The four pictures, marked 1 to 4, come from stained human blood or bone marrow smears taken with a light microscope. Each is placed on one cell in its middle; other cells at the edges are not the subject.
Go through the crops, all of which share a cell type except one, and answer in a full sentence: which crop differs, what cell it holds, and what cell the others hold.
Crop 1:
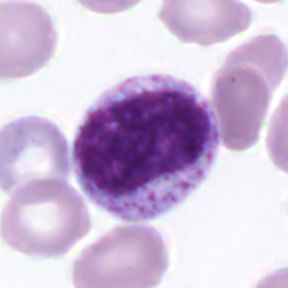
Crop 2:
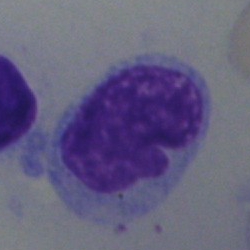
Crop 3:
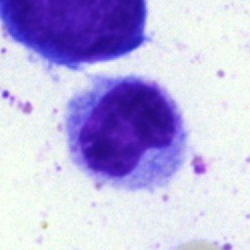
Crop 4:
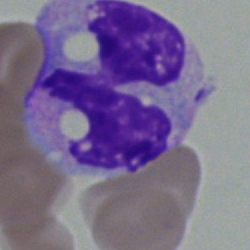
Unlike the other crops, all showing monocytes, crop 1 is a metamyelocyte.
